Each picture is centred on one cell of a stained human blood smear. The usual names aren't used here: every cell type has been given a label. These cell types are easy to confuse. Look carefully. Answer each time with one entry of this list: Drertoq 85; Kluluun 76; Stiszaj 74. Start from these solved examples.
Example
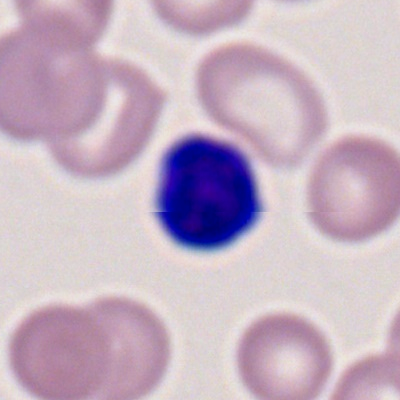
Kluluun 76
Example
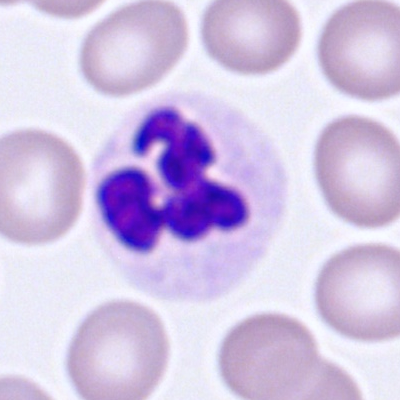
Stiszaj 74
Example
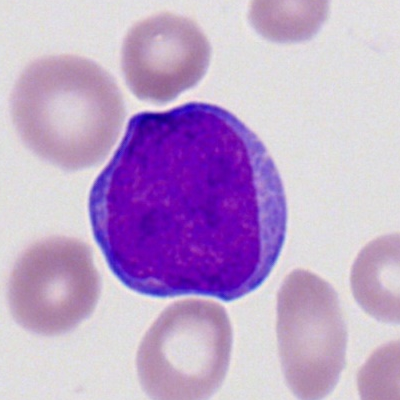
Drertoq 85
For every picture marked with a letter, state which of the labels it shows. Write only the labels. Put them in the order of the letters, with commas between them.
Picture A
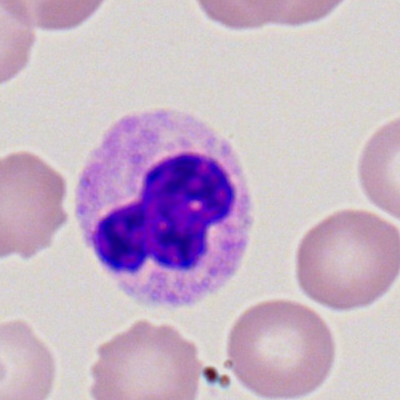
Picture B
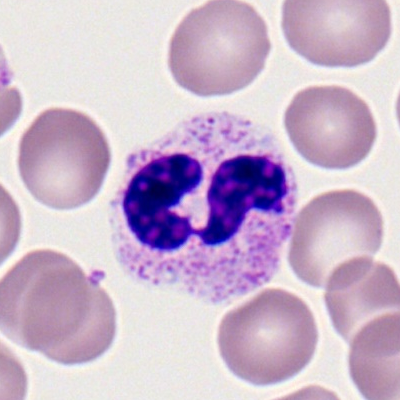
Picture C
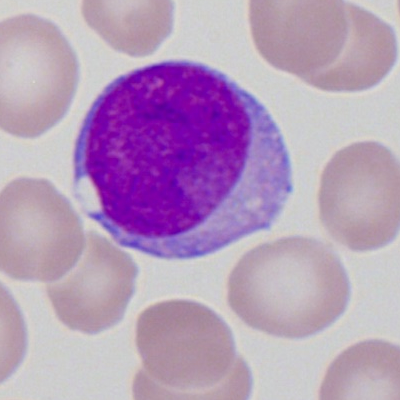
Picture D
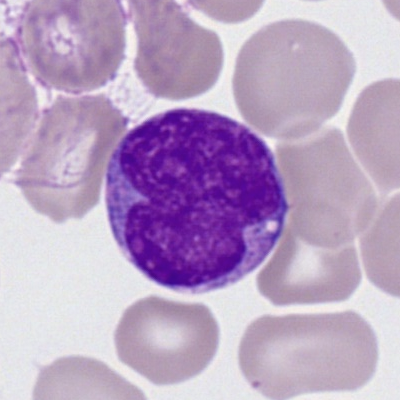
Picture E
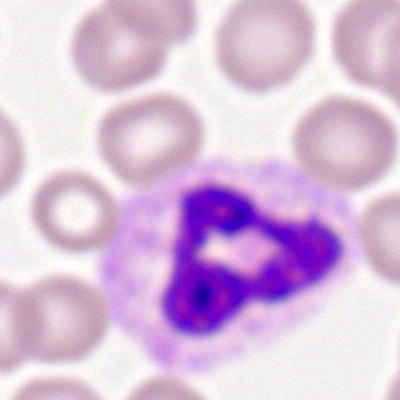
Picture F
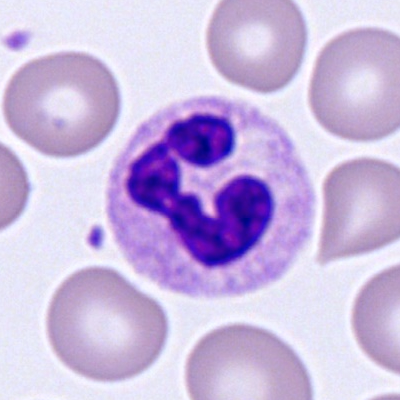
Stiszaj 74, Stiszaj 74, Drertoq 85, Drertoq 85, Stiszaj 74, Stiszaj 74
